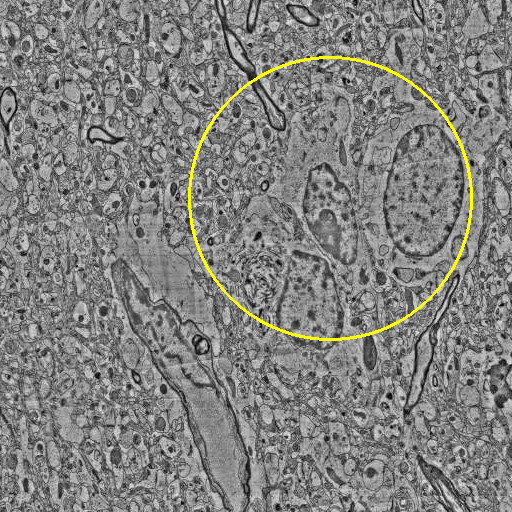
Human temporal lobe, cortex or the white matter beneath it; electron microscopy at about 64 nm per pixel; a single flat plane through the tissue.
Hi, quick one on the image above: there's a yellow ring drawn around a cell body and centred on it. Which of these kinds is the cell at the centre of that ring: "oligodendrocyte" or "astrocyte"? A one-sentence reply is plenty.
The cell at the centre of the ring is an astrocyte.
